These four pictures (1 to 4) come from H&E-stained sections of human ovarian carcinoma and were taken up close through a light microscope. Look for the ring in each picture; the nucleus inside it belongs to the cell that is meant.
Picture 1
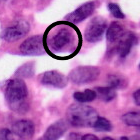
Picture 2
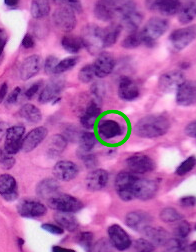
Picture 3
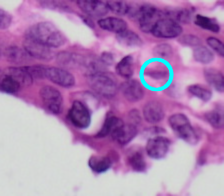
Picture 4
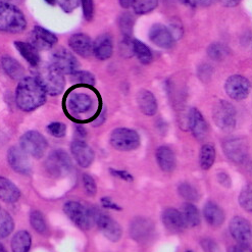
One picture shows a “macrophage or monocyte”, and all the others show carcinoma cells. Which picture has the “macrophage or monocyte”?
4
